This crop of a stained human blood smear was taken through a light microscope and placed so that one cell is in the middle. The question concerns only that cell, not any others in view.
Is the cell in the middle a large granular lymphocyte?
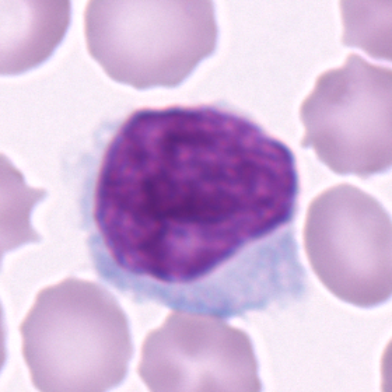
no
